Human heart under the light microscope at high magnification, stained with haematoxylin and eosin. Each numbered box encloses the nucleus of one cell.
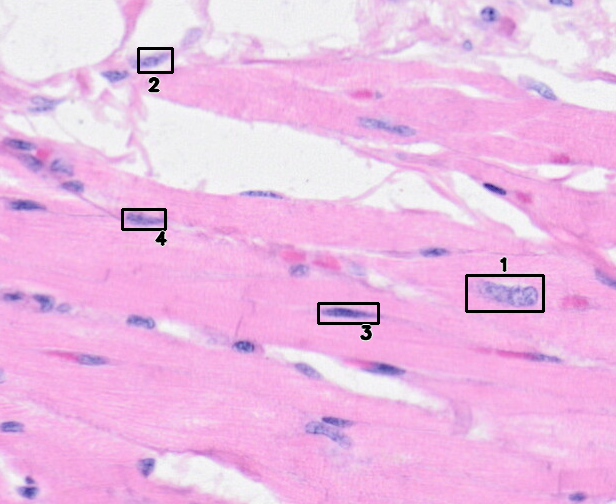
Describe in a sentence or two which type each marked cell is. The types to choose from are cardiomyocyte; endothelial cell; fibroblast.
Cell 1 is a cardiomyocyte, cell 2 is a fibroblast, cell 3 is an endothelial cell and cell 4 is a fibroblast.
